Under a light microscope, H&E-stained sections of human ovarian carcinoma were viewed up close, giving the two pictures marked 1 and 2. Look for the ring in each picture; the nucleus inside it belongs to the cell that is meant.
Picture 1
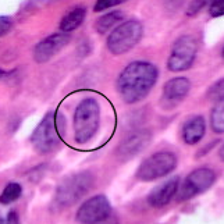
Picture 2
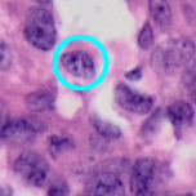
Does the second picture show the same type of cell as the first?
yes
